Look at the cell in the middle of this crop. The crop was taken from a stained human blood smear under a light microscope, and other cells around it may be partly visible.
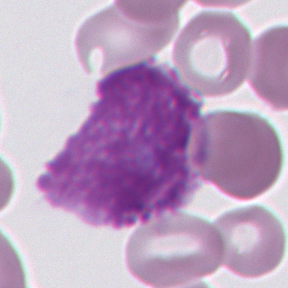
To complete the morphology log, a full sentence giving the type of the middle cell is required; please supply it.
Classification of the middle cell gives a smudge cell.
